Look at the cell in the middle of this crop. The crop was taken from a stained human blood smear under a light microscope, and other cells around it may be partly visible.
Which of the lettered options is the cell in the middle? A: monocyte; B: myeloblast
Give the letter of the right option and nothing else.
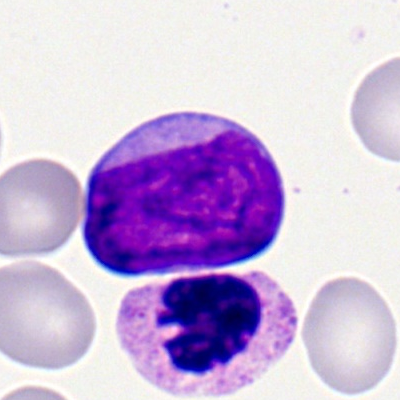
B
